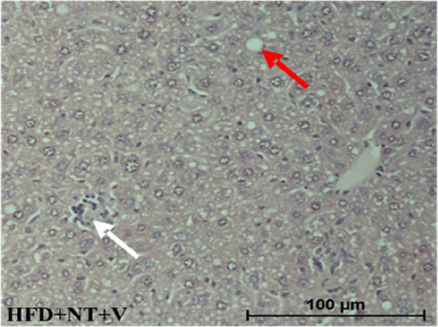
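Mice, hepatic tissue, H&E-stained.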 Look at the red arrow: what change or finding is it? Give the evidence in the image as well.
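Macrovesicular fatty infiltration. A single large round clear vacuole lies in the hepatocyte plates. Surrounding hepatocytes have mostly granular pink cytoplasm.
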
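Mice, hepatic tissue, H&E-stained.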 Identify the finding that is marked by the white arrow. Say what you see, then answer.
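A small cluster of tightly packed, small, dark-purple nuclei lies among hepatocytes. The clustered nuclei are much smaller and darker than hepatocyte nuclei.
Conclusion: inflammatory foci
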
